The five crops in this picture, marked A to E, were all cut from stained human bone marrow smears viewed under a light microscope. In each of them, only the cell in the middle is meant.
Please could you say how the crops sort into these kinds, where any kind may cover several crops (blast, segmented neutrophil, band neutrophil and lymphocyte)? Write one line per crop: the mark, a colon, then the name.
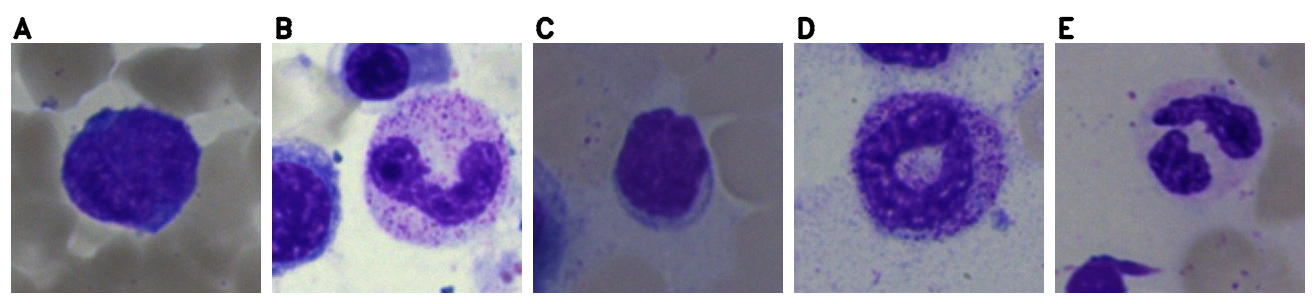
A: blast
B: band neutrophil
C: lymphocyte
D: band neutrophil
E: segmented neutrophil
